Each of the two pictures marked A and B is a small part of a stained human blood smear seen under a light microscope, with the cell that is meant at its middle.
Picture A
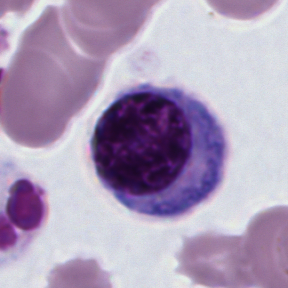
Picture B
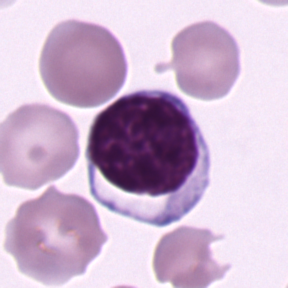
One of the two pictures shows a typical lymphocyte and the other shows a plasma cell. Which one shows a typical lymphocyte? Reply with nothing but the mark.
B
